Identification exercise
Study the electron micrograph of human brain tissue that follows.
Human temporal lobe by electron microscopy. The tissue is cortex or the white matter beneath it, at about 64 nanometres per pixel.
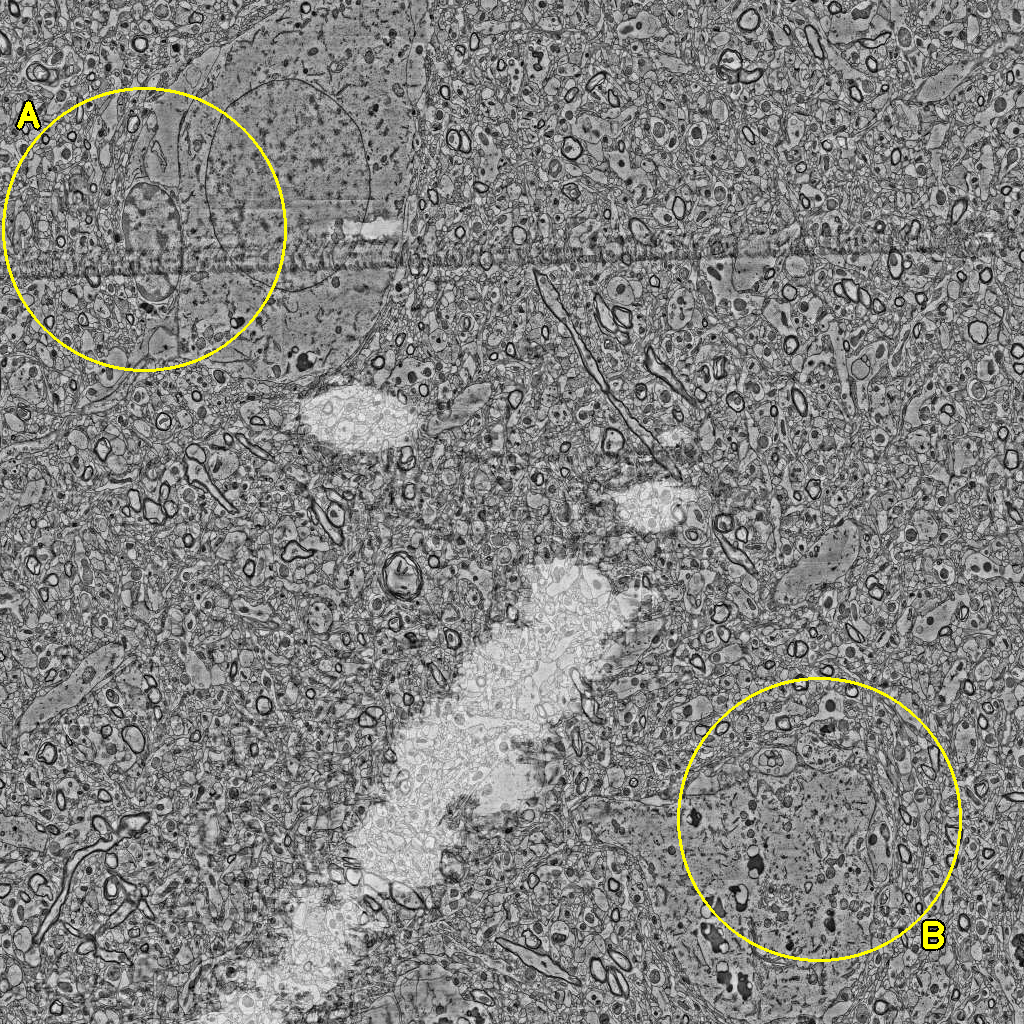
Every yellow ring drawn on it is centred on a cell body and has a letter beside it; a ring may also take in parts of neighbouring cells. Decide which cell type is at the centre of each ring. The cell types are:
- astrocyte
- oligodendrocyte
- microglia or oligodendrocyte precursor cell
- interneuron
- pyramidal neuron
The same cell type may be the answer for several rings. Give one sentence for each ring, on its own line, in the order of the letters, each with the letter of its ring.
Ring A encircles a microglial cell or oligodendrocyte precursor cell.
Ring B encircles an oligodendrocyte.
